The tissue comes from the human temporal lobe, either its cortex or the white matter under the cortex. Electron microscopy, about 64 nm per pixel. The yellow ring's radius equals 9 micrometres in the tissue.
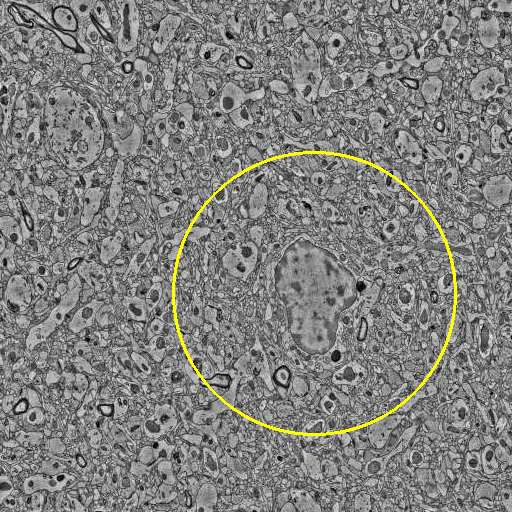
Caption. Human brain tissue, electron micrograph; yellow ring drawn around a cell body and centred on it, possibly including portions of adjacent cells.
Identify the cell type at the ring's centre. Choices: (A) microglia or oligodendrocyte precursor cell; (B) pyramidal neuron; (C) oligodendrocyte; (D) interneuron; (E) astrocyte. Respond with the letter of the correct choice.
A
